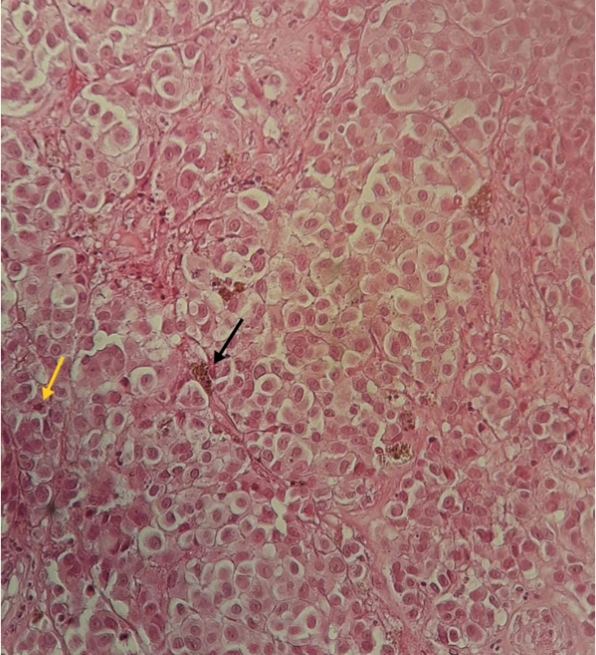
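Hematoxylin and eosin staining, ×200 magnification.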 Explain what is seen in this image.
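Nests and lobules of large polygonal epithelioid malignant tumor cells, separated by thin pink fibrous septa. The cells have abundant pink cytoplasm and round, conspicuous nuclei, and many are surrounded by clear retraction spaces. Scattered clusters of coarse brown melanin pigment lie between the cells, and an occasional cell shows dark, condensed nuclear material of a mitosis.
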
